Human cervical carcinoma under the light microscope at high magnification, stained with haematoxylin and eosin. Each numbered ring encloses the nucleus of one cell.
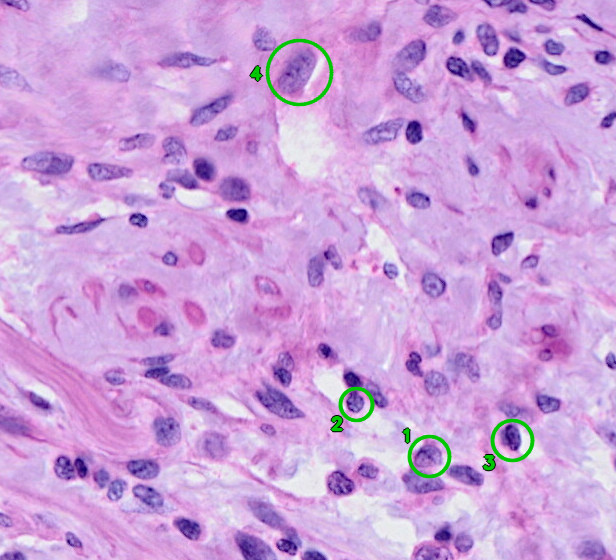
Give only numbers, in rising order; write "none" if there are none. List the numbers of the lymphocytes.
2, 3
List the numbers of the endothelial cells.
4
